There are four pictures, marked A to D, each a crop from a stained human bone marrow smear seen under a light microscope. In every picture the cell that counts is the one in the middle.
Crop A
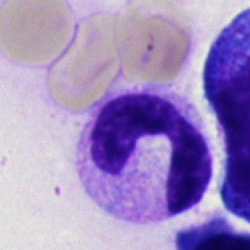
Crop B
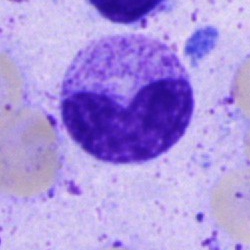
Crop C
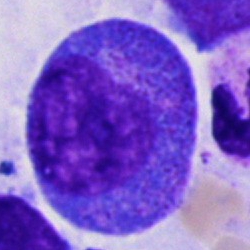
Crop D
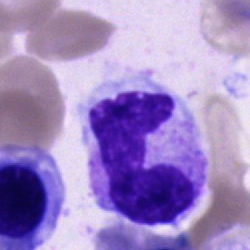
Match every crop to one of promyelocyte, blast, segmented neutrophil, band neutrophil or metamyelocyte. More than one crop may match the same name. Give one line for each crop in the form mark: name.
A: band neutrophil
B: metamyelocyte
C: promyelocyte
D: band neutrophil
